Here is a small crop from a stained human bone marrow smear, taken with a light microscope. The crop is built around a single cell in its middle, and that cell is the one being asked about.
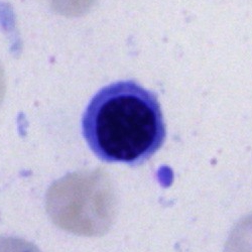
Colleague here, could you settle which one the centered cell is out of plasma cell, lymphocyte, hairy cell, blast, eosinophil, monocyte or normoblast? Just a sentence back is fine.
The cell of interest, located centrally, is a normoblast.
